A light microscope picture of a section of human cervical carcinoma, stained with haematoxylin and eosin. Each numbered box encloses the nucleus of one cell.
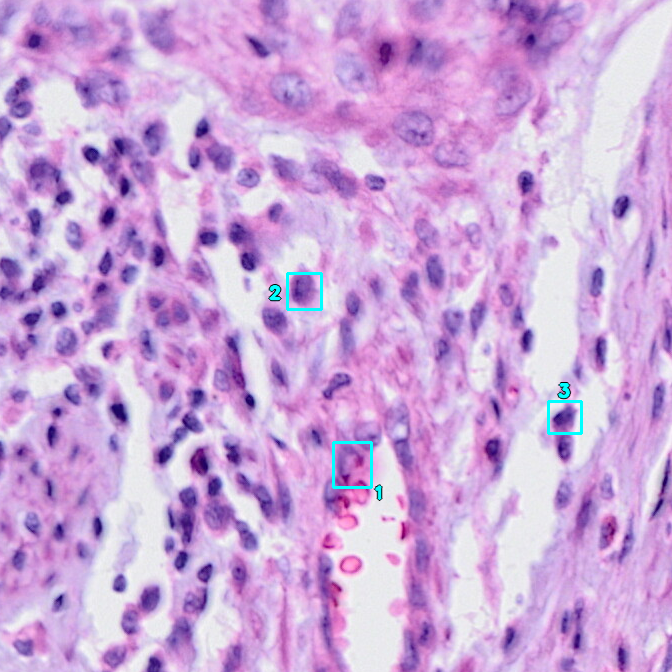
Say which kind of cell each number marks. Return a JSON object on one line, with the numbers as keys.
{"1": "endothelial cell", "2": "macrophage or monocyte", "3": "lymphocyte"}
